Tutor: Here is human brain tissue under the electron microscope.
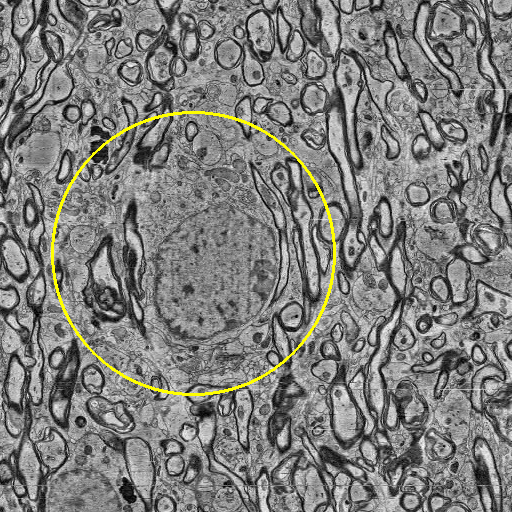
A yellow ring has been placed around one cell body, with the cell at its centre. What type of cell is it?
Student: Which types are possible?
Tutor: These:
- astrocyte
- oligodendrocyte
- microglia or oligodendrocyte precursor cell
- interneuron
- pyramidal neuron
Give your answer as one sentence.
What the ring picks out here is an astrocyte.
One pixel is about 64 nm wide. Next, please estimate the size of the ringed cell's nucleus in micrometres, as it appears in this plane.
The nucleus of the ringed cell is approximately 9 micrometres across in this plane.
